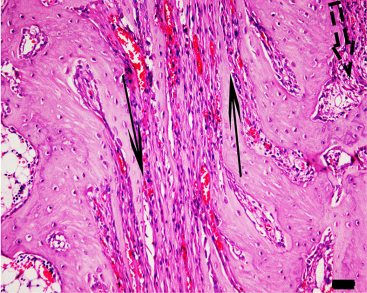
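Broad pink bone with scattered cells in lacunae surrounds narrow bands of fibrous tissue that run steeply across the field. The bands contain densely packed spindle-shaped cells with elongated purple nuclei and blood vessels filled with red blood cells, all aligned along the bands.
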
